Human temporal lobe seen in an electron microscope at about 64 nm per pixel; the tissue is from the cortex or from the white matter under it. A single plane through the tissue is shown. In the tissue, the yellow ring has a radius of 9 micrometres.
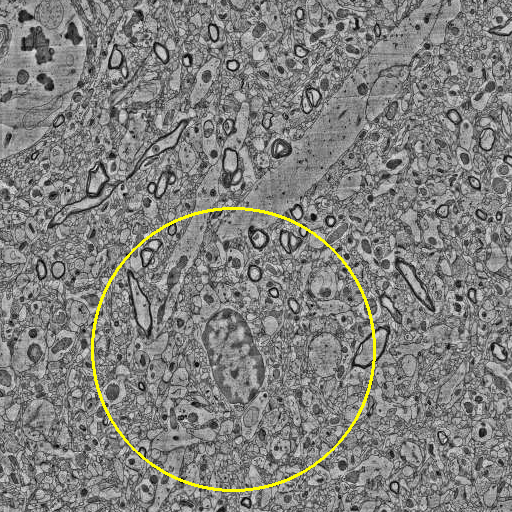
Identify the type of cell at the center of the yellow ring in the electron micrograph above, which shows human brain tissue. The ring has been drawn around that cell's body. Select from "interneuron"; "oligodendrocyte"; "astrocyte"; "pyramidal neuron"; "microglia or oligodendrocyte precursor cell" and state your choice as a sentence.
The yellow ring is centered on the body of a microglial cell or oligodendrocyte precursor cell.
